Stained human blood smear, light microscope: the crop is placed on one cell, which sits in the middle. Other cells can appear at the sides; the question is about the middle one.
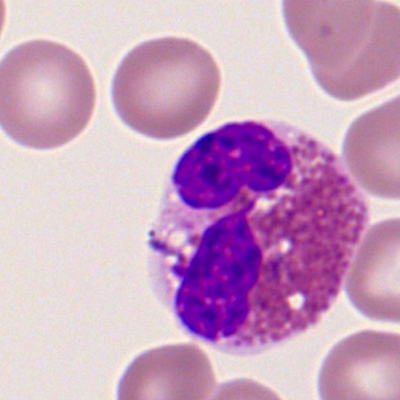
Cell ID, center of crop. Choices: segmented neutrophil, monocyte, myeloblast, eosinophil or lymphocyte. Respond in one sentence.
By classification, the middle cell of this crop is an eosinophil.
